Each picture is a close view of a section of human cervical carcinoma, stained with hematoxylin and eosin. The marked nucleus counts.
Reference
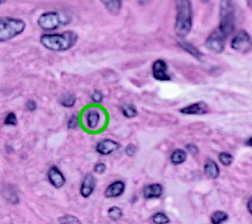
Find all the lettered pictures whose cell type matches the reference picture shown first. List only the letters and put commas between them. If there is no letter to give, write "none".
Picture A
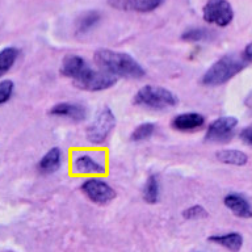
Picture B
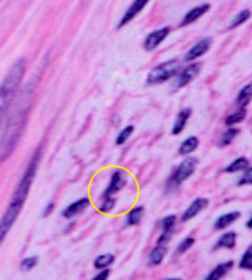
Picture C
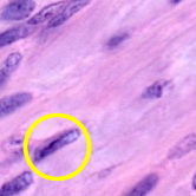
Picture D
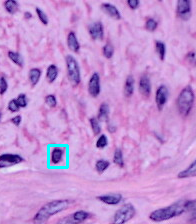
B, D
